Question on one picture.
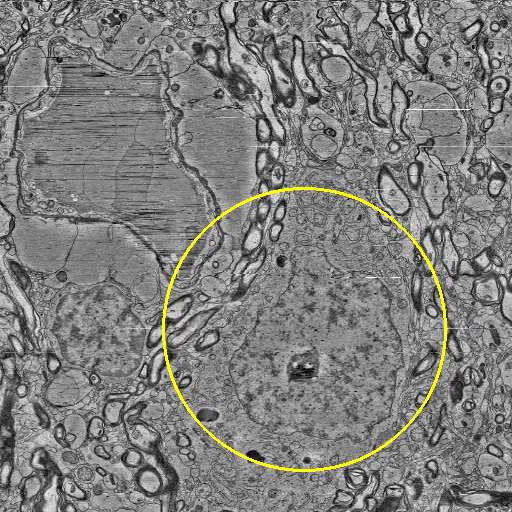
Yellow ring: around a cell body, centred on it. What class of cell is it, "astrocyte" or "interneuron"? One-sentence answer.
This is an interneuron, the cell the ring is centred on.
